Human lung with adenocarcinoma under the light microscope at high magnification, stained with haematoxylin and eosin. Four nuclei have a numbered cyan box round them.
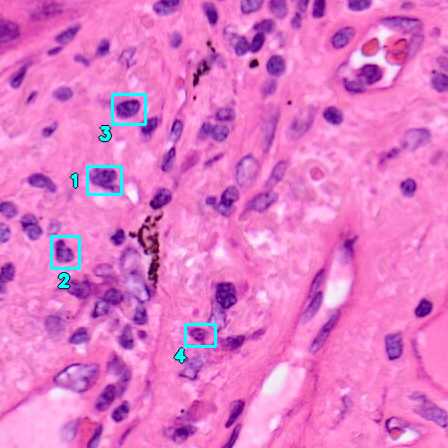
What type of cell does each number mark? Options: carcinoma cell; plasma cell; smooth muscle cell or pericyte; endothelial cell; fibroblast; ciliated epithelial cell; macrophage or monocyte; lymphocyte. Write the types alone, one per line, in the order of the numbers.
lymphocyte
lymphocyte
lymphocyte
plasma cell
